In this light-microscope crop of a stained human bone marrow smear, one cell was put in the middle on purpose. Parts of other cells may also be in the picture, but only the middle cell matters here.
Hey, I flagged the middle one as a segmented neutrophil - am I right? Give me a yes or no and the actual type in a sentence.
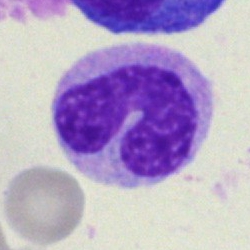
No, this one is a band neutrophil; it is not a segmented neutrophil.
